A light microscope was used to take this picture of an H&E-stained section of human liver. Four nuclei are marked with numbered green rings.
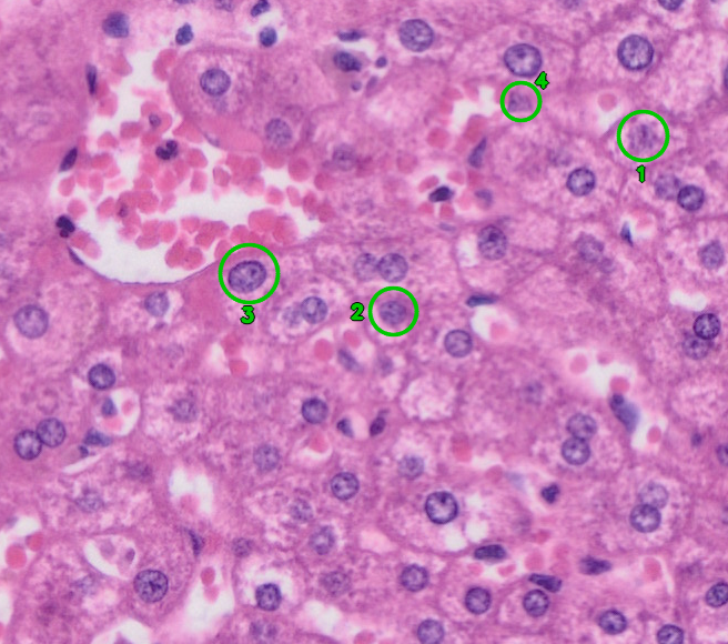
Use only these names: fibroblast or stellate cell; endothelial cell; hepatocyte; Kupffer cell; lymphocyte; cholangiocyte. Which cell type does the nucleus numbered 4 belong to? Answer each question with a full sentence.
Corresponding to an endothelial cell is the cell labelled 4.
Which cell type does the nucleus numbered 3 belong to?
In the marked set, the cell given number 3 is a hepatocyte.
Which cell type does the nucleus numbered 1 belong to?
Denoted by the label 1 in the section is a hepatocyte.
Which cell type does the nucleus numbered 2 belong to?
Cell 2 is classified as a hepatocyte.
